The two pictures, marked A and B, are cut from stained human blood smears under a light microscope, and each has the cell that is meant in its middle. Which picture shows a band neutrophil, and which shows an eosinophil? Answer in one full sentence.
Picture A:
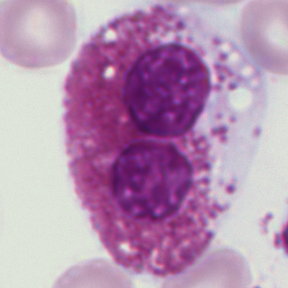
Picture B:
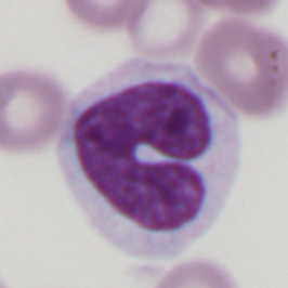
The cell in picture A is an eosinophil, and the one in picture B is a band neutrophil.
